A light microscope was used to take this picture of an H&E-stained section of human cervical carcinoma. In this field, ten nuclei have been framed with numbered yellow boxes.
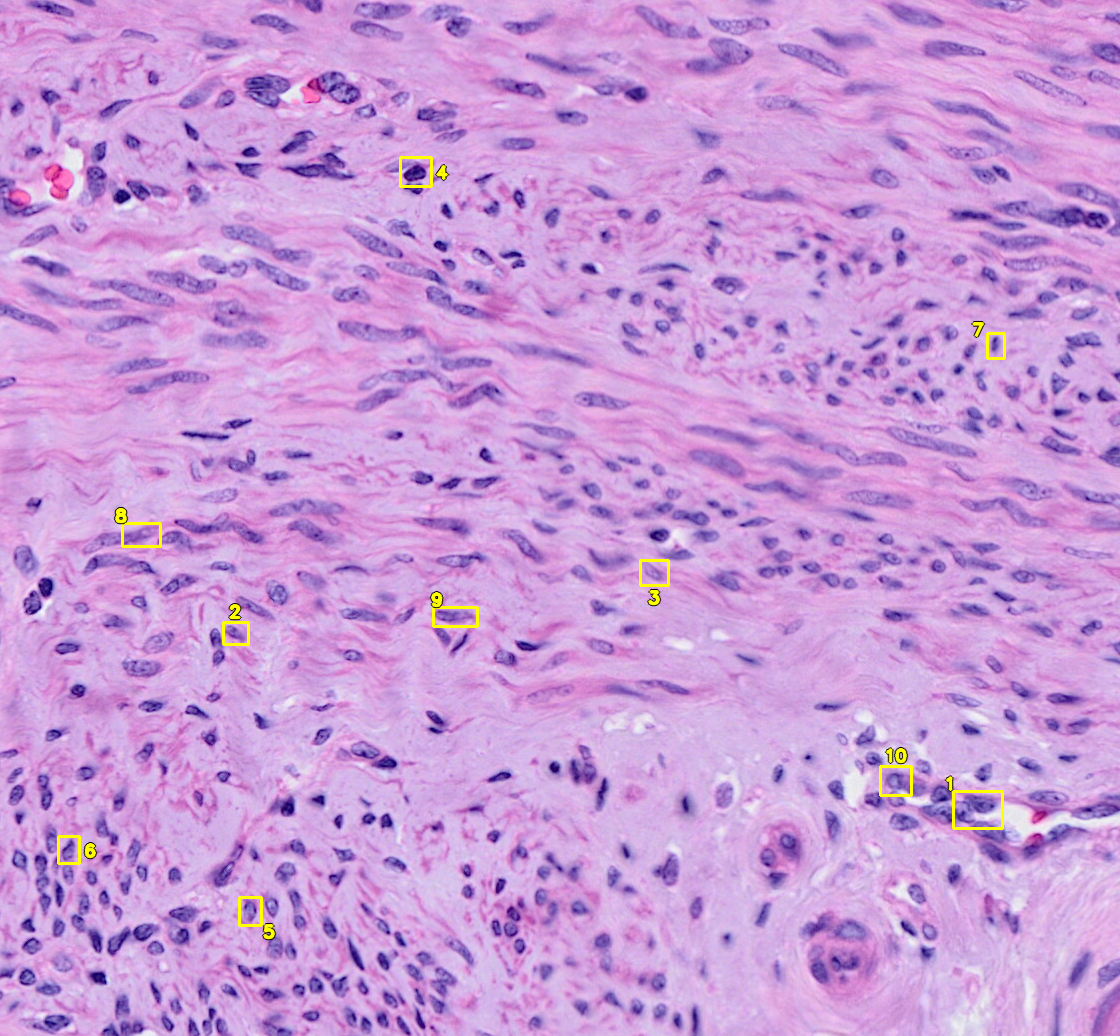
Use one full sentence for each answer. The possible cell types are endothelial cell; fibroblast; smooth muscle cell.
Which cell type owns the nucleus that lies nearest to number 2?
The nearest nucleus to number 2 belongs to a fibroblast.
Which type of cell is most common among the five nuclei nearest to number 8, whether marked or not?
Smooth muscle cells make up most of the five nuclei closest to number 8.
